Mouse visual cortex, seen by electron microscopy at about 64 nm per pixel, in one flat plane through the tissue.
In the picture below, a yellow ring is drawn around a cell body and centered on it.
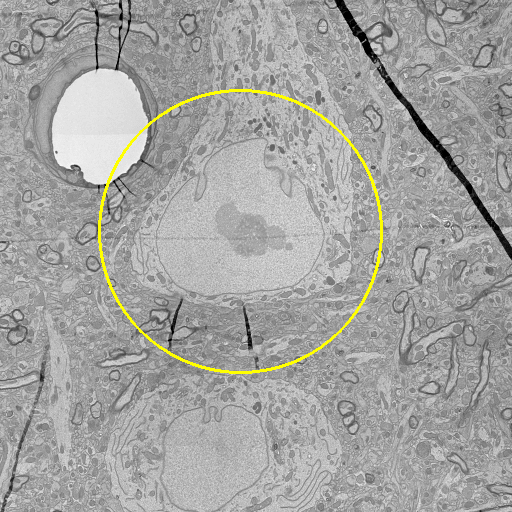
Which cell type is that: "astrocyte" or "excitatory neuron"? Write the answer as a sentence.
The cell centered in the ring is an excitatory neuron.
